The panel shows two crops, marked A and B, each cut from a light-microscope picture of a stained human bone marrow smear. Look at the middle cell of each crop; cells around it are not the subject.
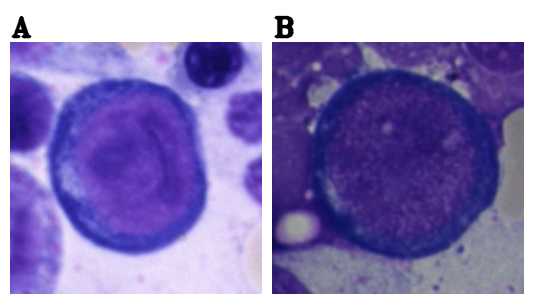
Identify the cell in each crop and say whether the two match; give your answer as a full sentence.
Yes, for both crops, the central cells are proerythroblasts.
